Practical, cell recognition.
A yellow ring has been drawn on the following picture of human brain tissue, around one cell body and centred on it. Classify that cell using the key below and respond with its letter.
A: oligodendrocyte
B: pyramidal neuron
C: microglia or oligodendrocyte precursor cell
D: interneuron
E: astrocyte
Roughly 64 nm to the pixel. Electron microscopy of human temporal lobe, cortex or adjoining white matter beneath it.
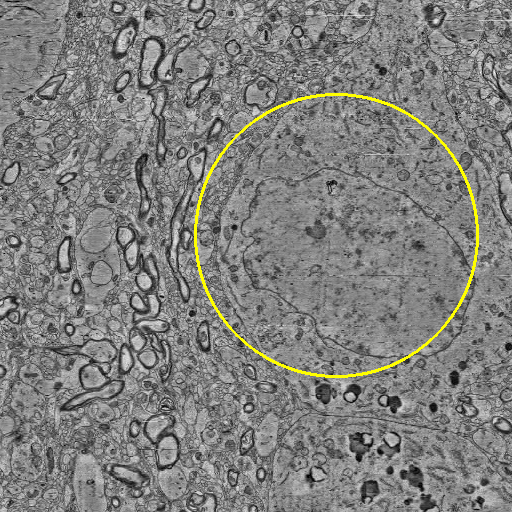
B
